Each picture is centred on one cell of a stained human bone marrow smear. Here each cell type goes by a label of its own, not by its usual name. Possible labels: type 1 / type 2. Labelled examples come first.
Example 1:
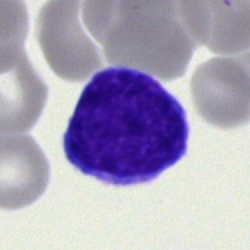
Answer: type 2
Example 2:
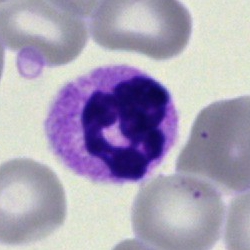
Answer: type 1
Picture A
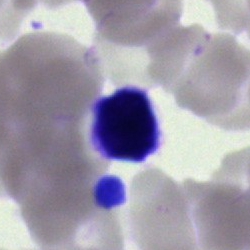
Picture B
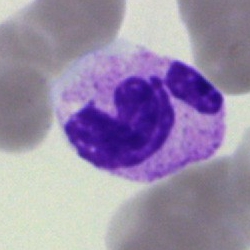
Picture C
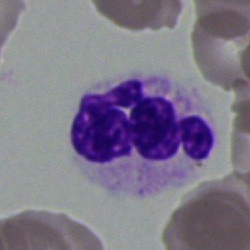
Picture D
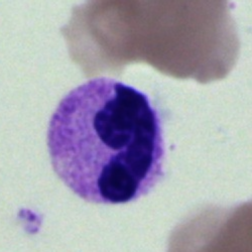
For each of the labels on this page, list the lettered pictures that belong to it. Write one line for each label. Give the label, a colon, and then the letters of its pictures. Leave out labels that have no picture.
type 1: B, C, D
type 2: A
